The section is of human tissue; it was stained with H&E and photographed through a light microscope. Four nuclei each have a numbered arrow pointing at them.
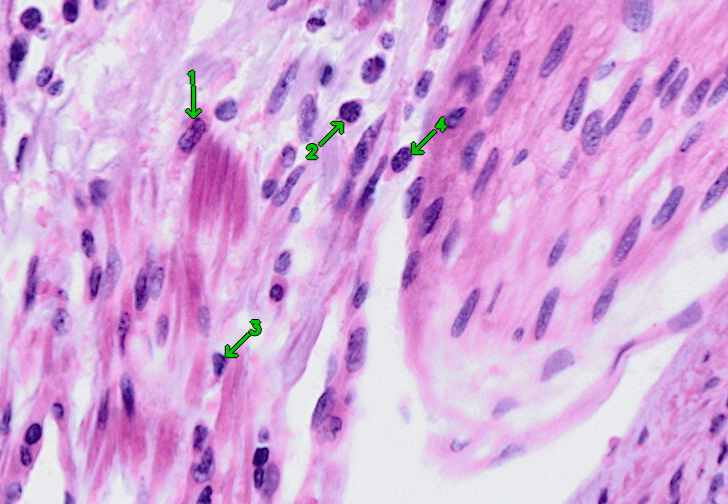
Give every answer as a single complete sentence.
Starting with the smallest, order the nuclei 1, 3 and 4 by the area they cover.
Smallest first, the nuclei run 3, 4, 1.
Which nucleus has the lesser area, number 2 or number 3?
With nucleus 2 about 2 times its size, nucleus 3 is the smaller of the two.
